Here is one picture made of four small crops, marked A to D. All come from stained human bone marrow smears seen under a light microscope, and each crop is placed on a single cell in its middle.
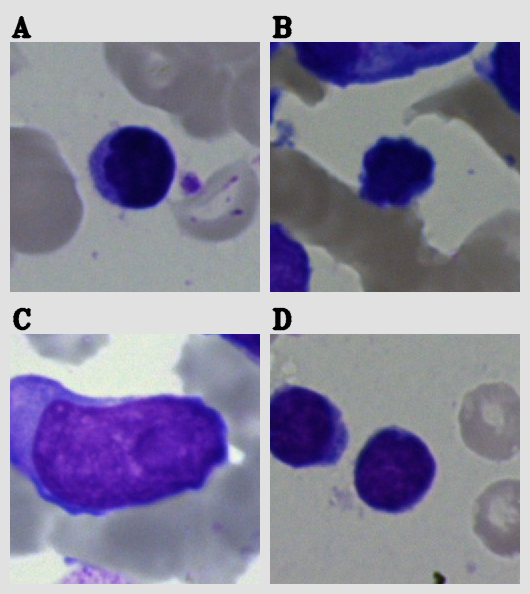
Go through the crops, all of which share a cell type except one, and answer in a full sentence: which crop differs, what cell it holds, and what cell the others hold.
All of the other crops show lymphocytes; crop C, by contrast, is a blast.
